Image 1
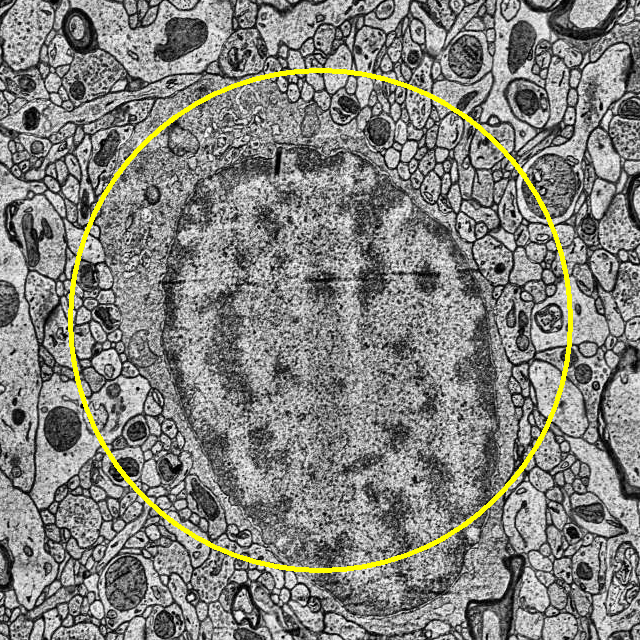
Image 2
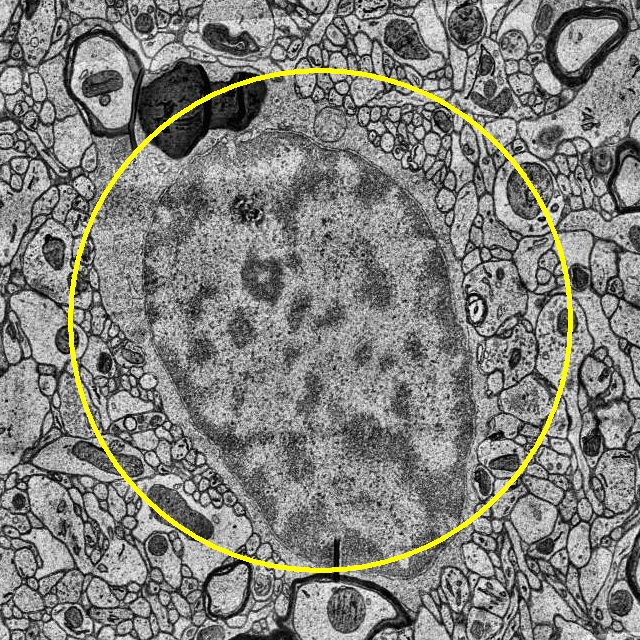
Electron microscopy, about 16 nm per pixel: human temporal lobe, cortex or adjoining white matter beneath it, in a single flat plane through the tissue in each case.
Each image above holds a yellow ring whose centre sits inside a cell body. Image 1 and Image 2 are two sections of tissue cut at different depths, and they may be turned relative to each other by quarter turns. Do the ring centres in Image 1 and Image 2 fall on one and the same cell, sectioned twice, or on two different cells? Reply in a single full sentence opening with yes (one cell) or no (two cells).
Yes, one and the same cell lies under both rings.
